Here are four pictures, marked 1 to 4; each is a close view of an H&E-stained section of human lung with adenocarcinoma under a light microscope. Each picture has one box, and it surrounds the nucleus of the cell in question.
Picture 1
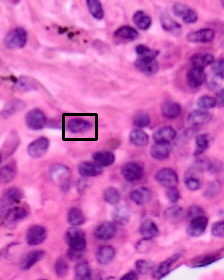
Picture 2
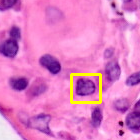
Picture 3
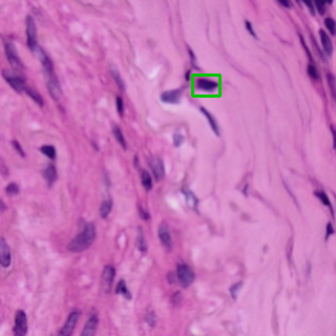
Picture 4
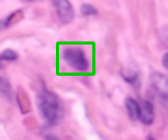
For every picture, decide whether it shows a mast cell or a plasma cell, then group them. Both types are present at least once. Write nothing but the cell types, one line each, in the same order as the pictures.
plasma cell
mast cell
mast cell
plasma cell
